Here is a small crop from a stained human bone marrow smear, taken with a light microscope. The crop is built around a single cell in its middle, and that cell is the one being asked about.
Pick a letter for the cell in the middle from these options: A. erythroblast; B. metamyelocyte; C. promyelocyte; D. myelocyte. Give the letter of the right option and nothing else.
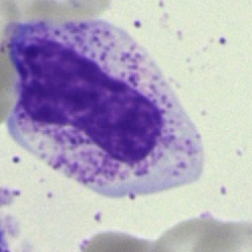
B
